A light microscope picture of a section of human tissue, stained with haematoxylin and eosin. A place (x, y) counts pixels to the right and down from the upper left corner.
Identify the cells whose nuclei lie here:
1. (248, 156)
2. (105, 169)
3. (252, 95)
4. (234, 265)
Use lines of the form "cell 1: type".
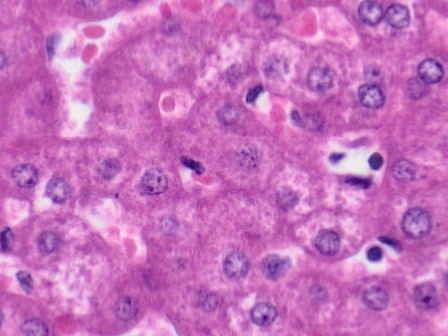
cell 1: hepatocyte
cell 2: hepatocyte
cell 3: endothelial cell
cell 4: hepatocyte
